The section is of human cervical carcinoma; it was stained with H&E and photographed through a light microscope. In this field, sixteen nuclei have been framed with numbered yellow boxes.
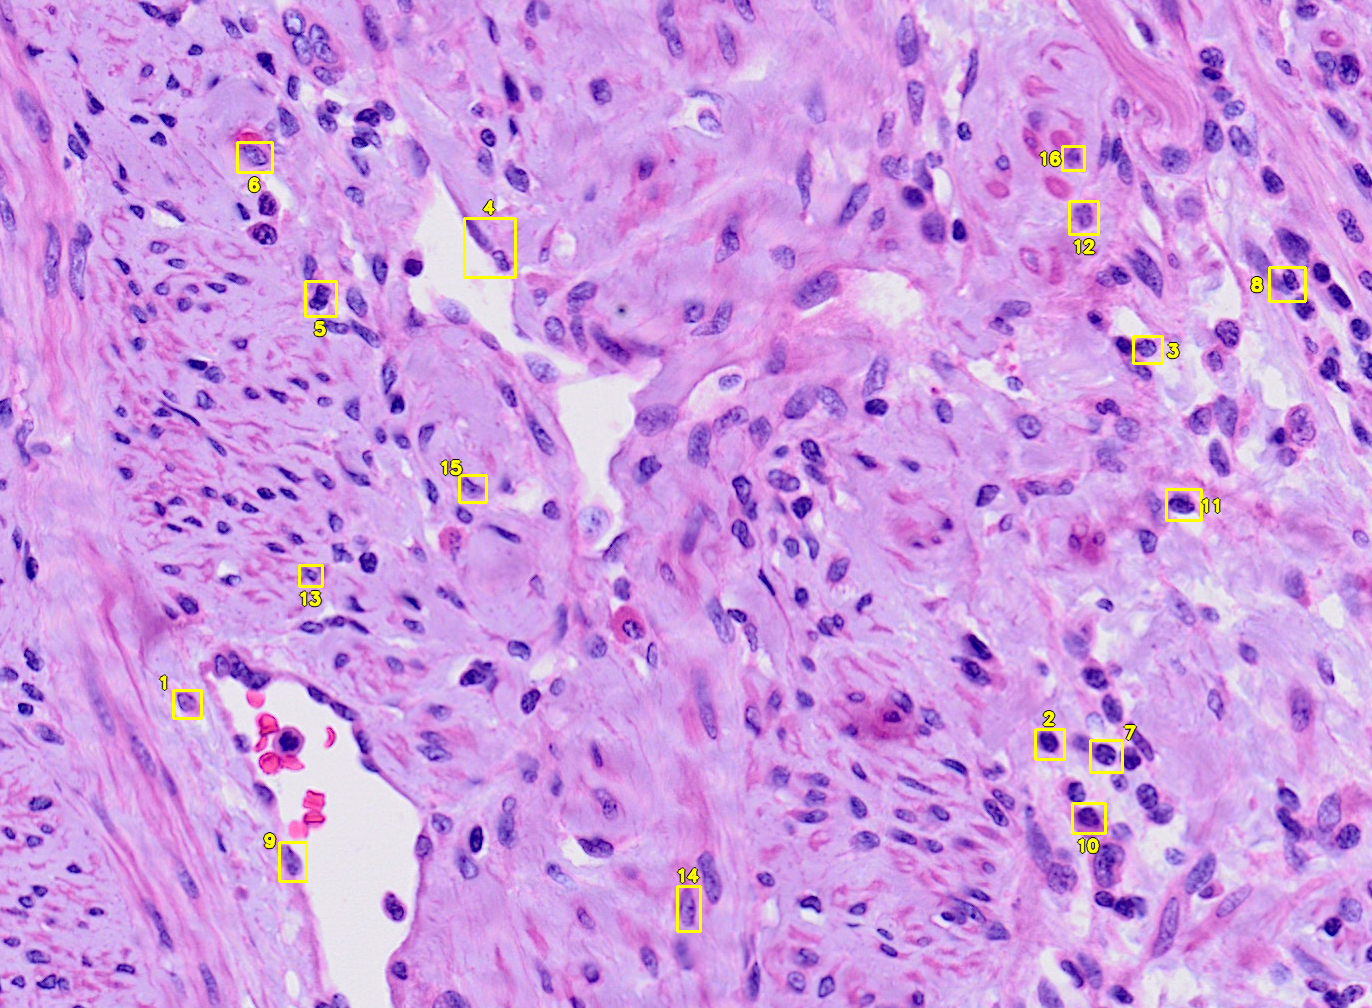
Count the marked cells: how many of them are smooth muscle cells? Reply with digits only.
4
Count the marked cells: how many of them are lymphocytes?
7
